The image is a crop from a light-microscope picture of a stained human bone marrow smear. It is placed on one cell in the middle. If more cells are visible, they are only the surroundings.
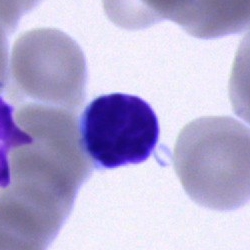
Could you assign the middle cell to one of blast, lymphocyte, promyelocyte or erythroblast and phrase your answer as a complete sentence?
In the center of this field lies a lymphocyte.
